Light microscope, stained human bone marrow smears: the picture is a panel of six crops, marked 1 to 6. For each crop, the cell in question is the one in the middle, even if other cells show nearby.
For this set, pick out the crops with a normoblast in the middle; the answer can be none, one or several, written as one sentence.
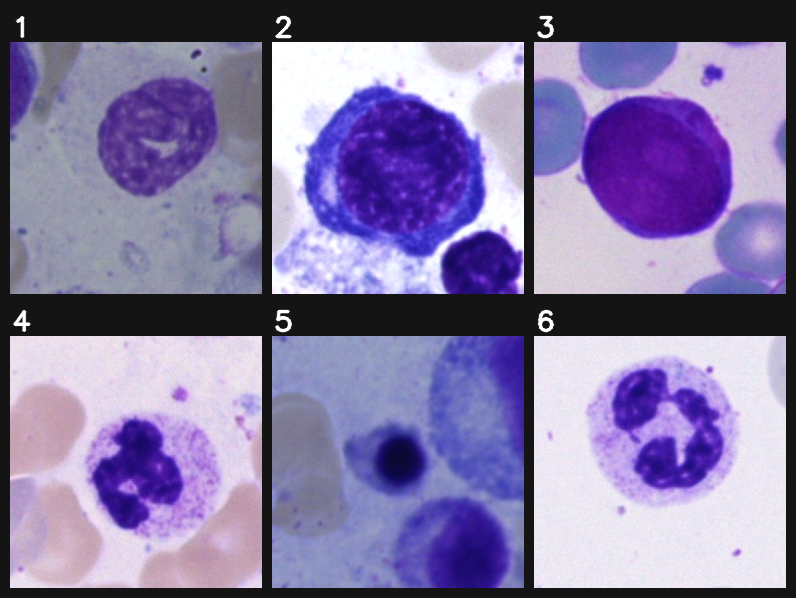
For crops 2 and 5, the central cells are normoblasts.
